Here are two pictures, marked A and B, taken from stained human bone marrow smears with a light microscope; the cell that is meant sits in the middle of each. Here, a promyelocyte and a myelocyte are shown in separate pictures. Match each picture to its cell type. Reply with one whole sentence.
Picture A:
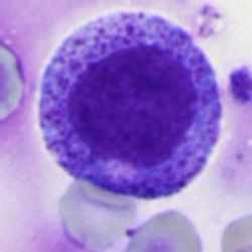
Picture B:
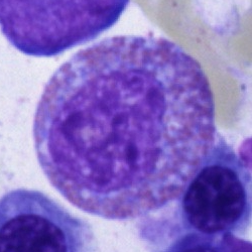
Picture A is of a promyelocyte, and picture B is of a myelocyte.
